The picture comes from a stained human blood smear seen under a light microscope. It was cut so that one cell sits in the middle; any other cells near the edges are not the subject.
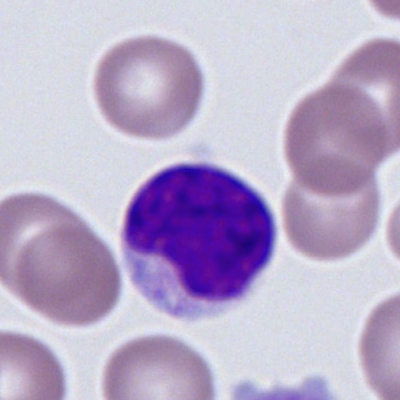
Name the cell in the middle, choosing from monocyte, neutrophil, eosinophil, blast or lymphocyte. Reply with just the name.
lymphocyte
